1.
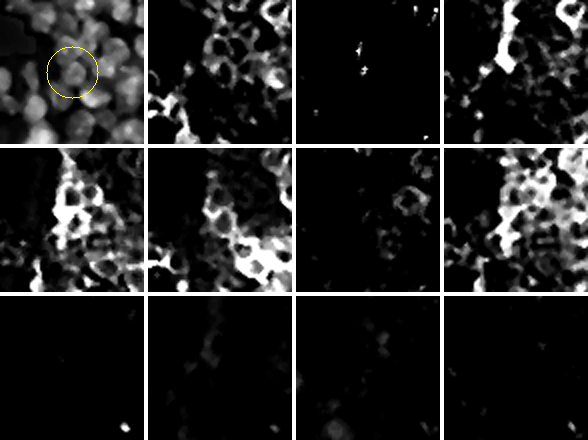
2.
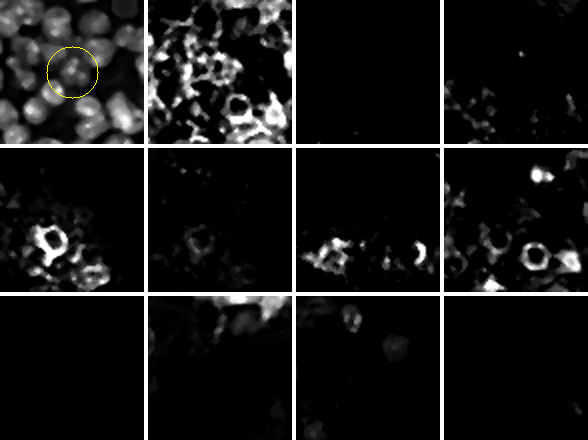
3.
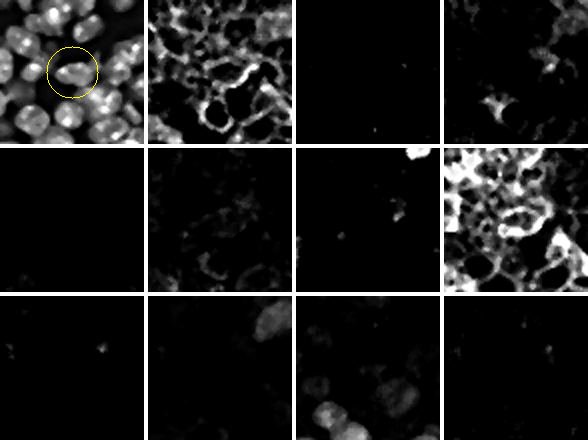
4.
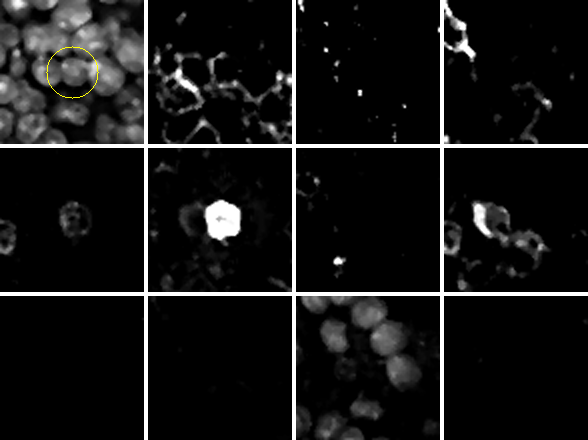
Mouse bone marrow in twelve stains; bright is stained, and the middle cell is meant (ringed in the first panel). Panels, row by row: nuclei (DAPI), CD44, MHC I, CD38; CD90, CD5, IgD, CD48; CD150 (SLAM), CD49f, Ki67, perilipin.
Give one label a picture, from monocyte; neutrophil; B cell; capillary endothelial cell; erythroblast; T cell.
Picture 1: capillary endothelial cell
Picture 2: neutrophil
Picture 3: monocyte
Picture 4: T cell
